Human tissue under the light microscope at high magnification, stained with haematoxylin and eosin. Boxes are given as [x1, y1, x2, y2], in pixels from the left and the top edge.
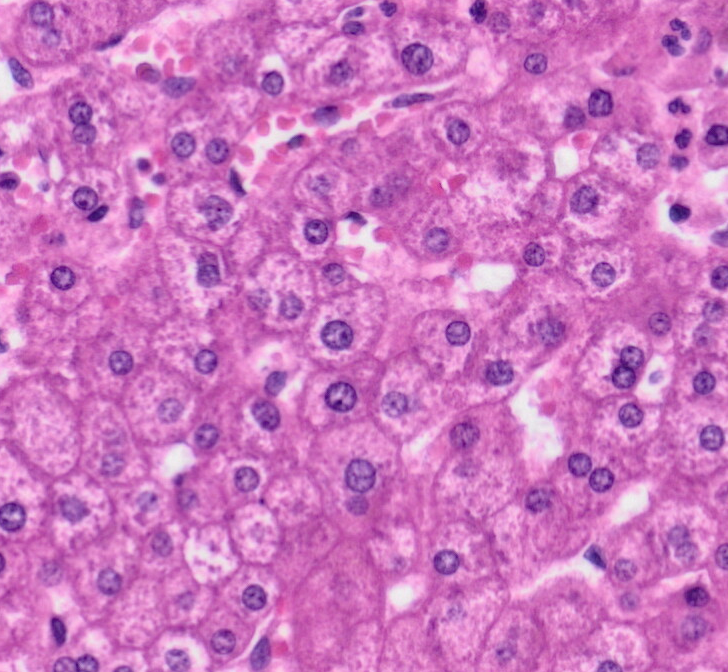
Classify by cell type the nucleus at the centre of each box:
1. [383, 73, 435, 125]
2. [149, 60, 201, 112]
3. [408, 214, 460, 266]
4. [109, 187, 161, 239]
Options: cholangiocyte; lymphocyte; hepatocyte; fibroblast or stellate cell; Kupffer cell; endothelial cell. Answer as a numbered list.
1. Kupffer cell
2. endothelial cell
3. hepatocyte
4. Kupffer cell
